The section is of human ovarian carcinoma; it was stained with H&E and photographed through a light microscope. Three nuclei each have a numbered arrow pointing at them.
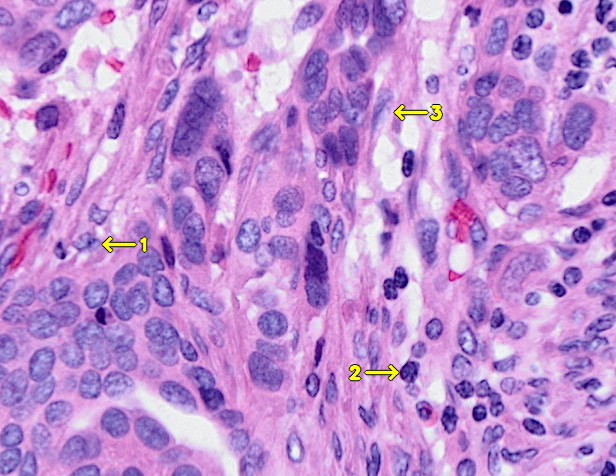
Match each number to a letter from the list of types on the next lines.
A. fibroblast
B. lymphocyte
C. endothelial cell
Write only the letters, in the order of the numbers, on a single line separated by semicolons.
A; B; A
